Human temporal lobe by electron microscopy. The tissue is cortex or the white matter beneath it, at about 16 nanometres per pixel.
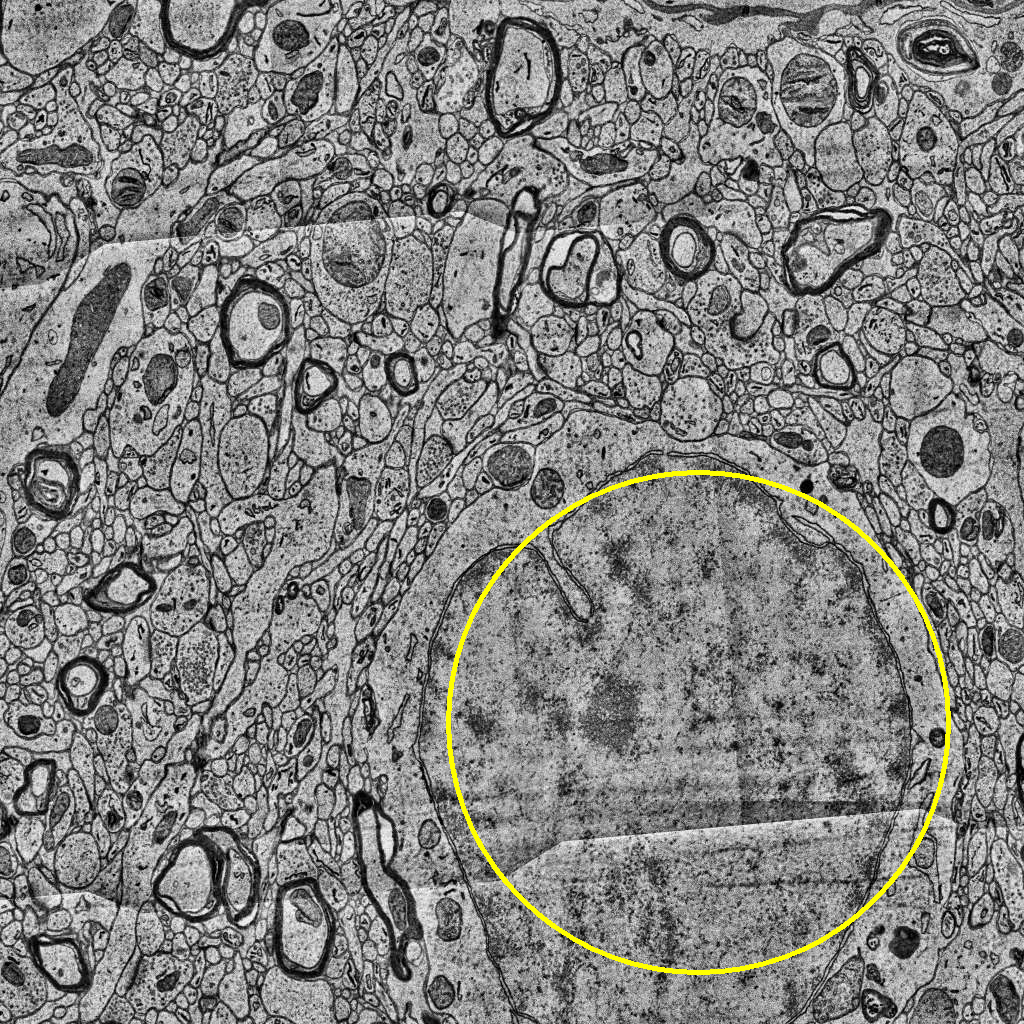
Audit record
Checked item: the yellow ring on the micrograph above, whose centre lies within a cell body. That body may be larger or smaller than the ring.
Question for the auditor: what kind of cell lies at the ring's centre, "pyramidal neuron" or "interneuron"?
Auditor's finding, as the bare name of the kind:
interneuron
